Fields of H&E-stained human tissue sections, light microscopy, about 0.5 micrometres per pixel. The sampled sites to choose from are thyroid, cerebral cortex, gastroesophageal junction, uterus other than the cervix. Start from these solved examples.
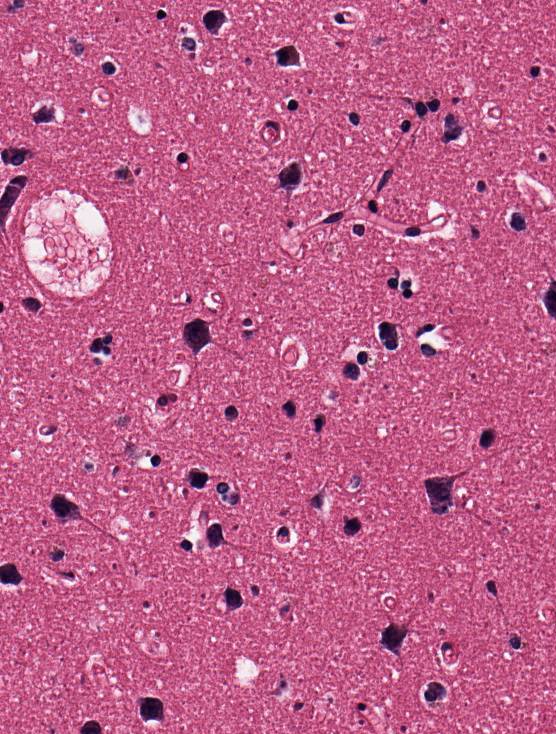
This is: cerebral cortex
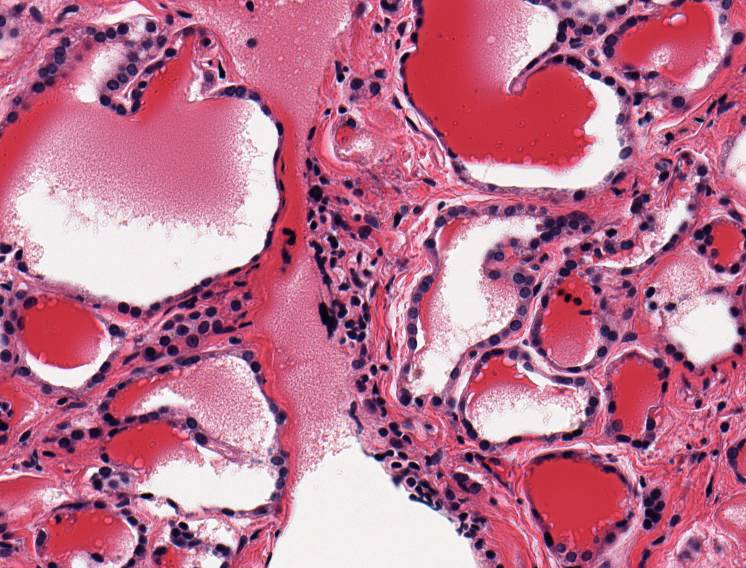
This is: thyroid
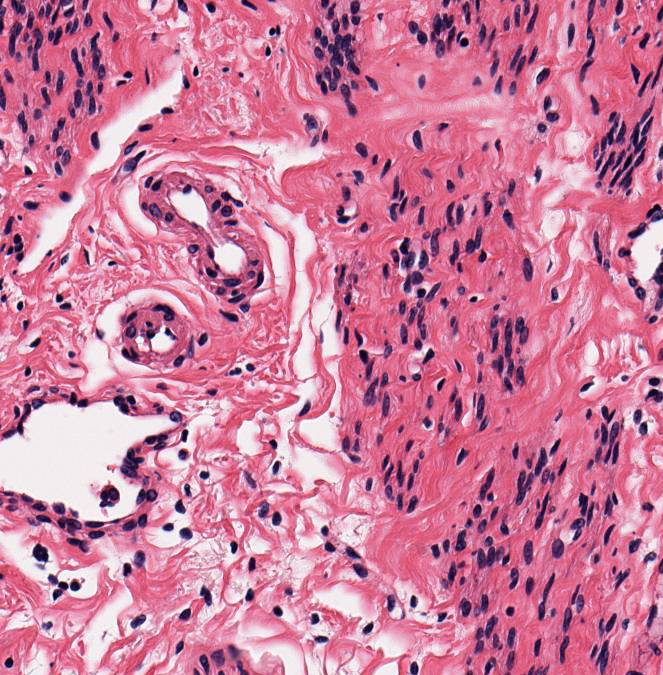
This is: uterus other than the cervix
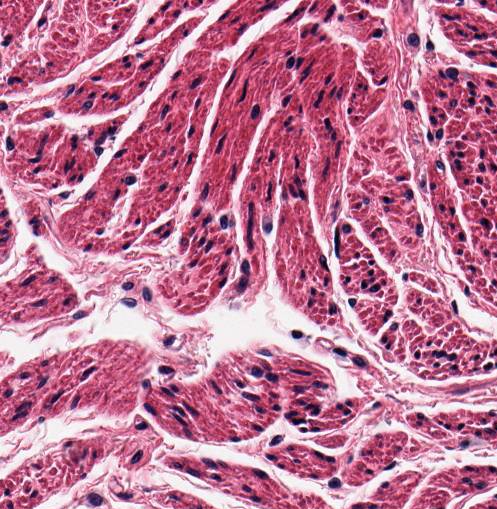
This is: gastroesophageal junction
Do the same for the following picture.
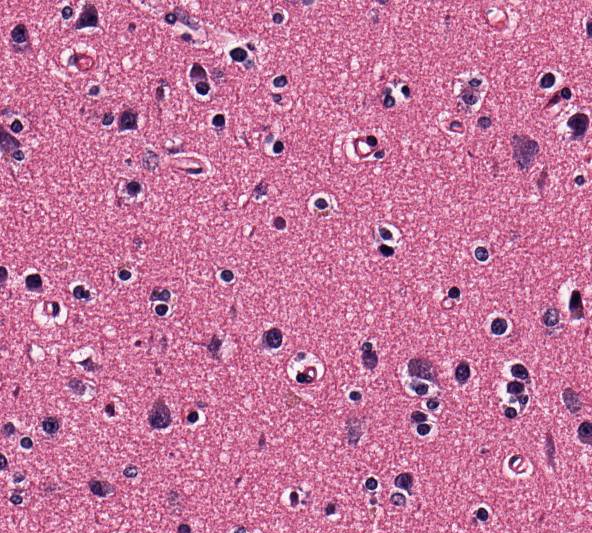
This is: cerebral cortex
